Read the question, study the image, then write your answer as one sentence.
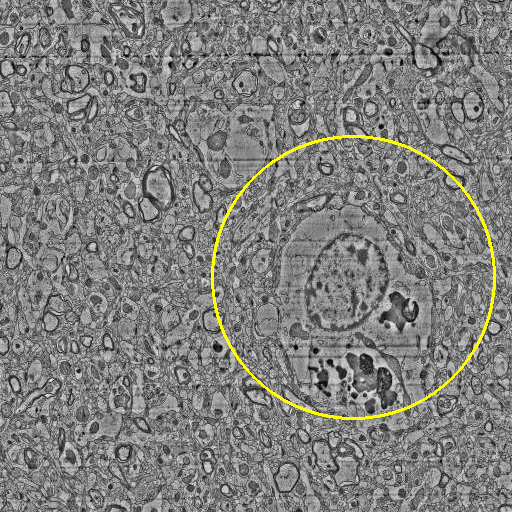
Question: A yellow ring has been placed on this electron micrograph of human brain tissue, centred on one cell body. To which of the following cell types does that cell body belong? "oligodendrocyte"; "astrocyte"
That cell body belongs to an astrocyte.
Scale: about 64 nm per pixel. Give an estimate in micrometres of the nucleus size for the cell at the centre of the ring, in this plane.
The nucleus comes to roughly 6 by 5 micrometres in this plane.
